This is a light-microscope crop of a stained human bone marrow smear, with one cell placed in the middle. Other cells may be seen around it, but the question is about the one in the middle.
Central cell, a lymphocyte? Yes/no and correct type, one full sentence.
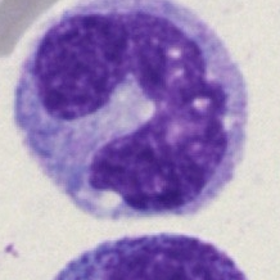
No, at the middle of the crop is a monocyte, not a lymphocyte.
